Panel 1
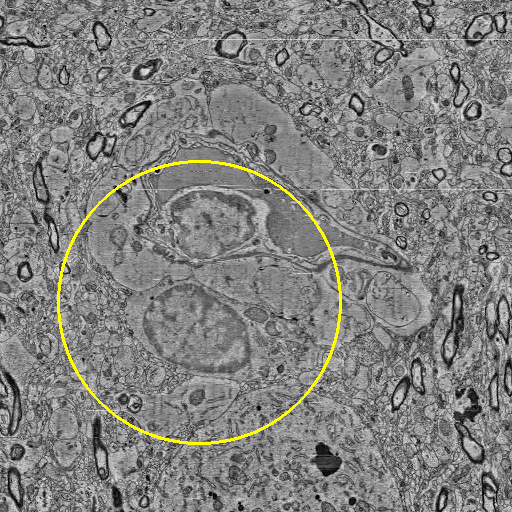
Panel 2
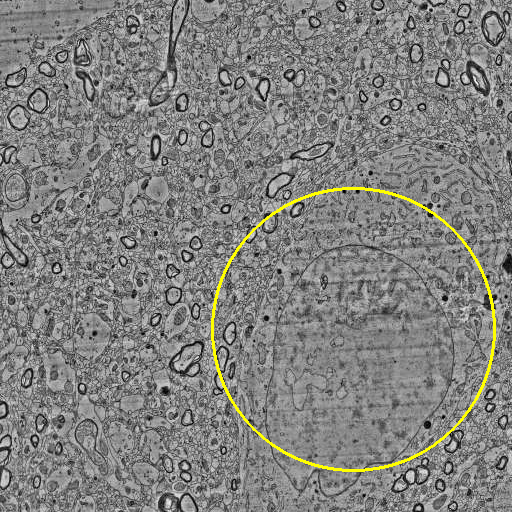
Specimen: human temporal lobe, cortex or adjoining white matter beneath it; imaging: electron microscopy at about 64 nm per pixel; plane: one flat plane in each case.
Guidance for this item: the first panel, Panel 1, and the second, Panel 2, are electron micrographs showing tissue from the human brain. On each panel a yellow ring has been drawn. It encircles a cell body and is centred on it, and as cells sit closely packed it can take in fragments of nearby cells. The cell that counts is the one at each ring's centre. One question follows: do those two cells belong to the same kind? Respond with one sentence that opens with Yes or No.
No, the cells at the ring centres in Panel 1 and Panel 2 are of two kinds.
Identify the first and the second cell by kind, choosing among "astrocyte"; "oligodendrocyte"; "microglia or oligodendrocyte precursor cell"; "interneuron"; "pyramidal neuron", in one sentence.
The one in the first picture is an oligodendrocyte, while the one in the second is a pyramidal neuron.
